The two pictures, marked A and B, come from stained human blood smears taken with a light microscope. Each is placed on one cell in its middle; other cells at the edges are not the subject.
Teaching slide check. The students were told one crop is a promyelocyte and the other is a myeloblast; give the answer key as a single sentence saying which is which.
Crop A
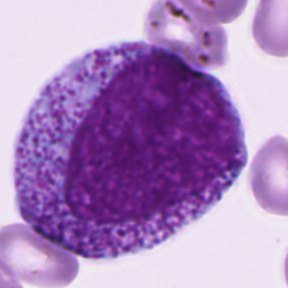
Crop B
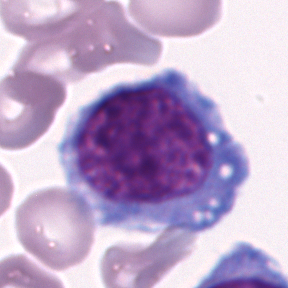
Respectively, crops A and B show a promyelocyte and a myeloblast.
